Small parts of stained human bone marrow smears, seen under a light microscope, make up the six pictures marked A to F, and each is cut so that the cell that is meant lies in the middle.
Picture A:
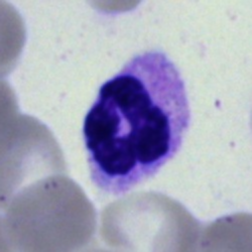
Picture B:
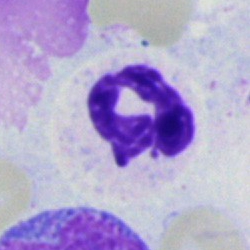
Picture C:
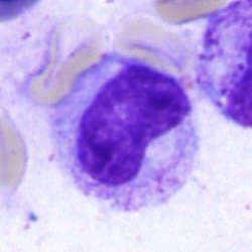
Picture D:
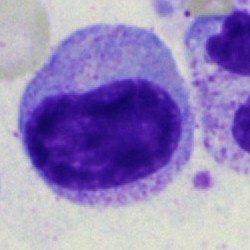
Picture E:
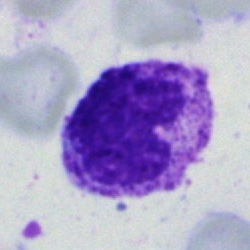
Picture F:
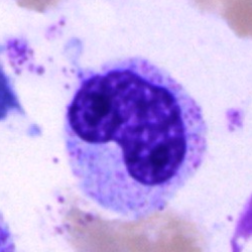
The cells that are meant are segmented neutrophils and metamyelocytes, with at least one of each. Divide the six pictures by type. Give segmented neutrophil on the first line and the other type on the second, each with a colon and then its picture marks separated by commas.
segmented neutrophil: A, B
metamyelocyte: C, D, E, F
